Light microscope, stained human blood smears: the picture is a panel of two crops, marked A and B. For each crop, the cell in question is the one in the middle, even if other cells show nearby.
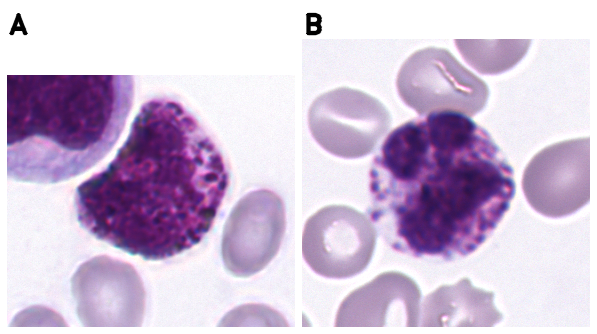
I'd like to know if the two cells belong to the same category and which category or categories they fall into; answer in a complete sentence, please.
Yes, that holds, both crops show basophils.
